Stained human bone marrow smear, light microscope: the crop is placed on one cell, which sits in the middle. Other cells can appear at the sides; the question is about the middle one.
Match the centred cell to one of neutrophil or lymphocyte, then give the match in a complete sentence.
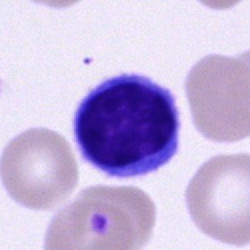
This crop is built around a lymphocyte at its centre.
